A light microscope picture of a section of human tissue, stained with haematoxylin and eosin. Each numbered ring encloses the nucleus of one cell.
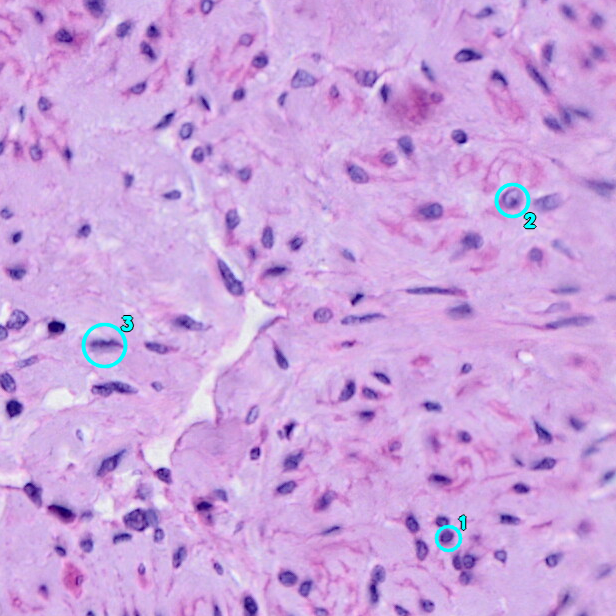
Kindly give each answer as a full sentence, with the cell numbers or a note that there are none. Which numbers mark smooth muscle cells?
Here, the cells that carry numbers 1 and 2 are smooth muscle cells.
